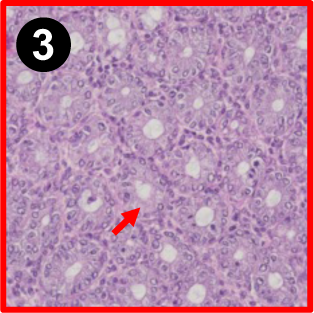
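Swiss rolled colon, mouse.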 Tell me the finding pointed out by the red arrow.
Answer: loss of goblet cells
